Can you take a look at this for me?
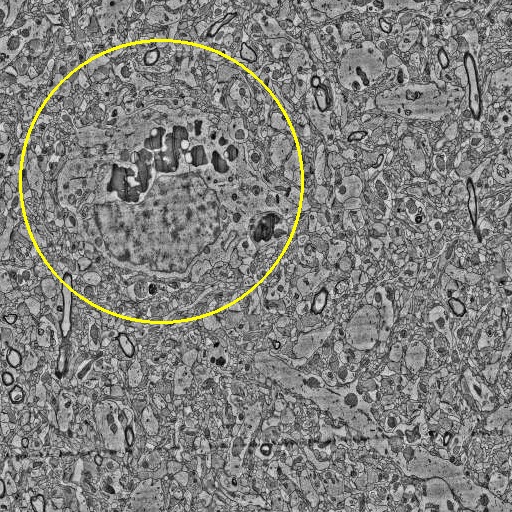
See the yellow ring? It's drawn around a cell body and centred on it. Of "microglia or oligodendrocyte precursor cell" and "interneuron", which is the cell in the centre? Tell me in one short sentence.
The one in the centre is an interneuron.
